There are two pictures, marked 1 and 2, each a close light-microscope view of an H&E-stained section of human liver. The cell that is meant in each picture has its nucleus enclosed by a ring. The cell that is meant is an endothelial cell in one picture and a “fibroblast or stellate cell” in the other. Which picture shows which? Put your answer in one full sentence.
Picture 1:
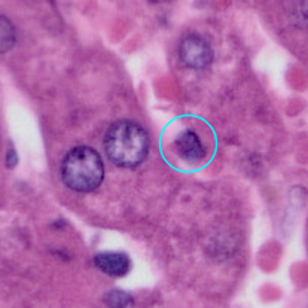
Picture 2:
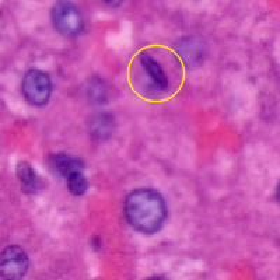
Picture 2 shows a “fibroblast or stellate cell”, while picture 1 shows an endothelial cell.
